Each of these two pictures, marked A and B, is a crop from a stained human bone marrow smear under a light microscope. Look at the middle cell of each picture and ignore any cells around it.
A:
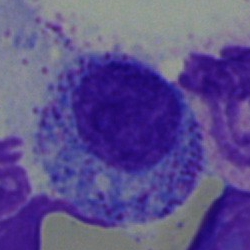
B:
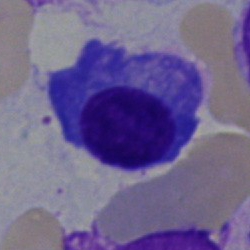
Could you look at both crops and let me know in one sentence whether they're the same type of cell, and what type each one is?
No, the labels go like this: crop A is a myelocyte and crop B is a plasma cell.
